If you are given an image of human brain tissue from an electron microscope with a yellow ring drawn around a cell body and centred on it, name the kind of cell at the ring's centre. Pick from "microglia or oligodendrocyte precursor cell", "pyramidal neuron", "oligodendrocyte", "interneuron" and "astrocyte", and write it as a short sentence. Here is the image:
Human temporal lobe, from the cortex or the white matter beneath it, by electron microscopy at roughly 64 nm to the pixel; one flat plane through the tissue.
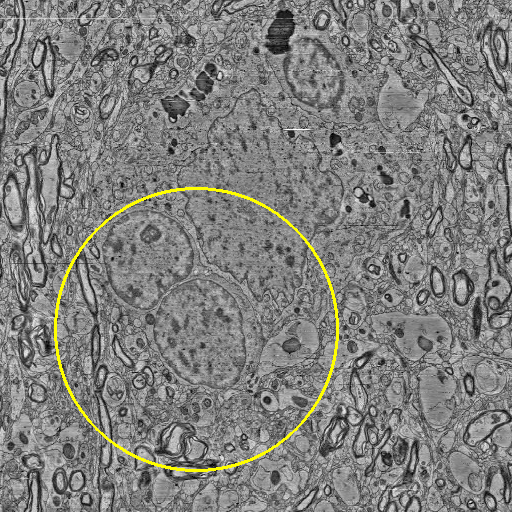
The cell at the ring's centre is an oligodendrocyte.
